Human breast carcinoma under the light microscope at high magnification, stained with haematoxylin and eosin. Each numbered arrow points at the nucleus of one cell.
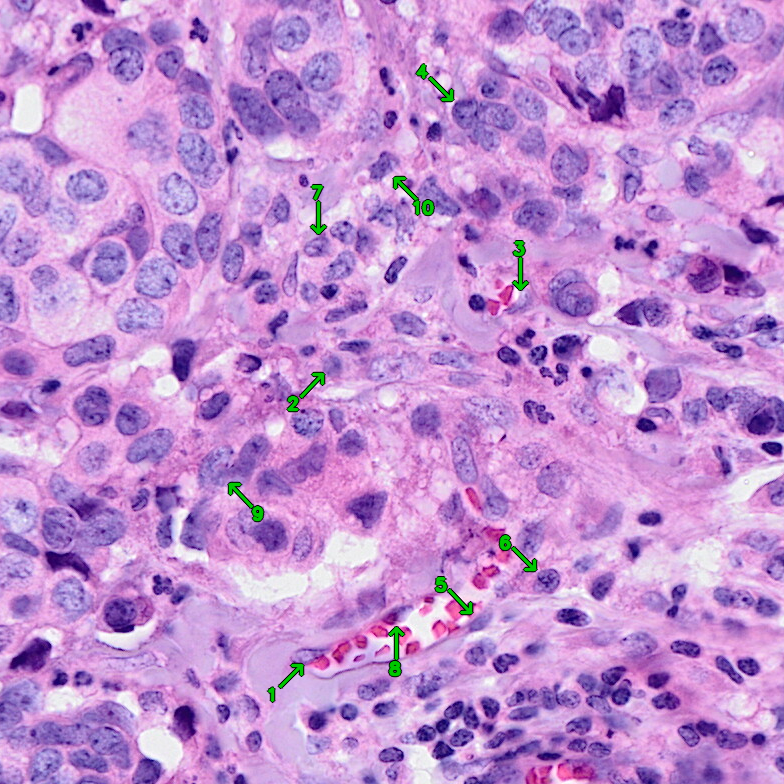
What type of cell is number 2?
macrophage, monocyte or dendritic cell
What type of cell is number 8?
endothelial cell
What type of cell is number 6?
macrophage, monocyte or dendritic cell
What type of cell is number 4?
carcinoma cell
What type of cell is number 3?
endothelial cell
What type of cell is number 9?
carcinoma cell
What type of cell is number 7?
macrophage, monocyte or dendritic cell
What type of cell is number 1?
endothelial cell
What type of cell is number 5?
endothelial cell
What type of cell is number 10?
macrophage, monocyte or dendritic cell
